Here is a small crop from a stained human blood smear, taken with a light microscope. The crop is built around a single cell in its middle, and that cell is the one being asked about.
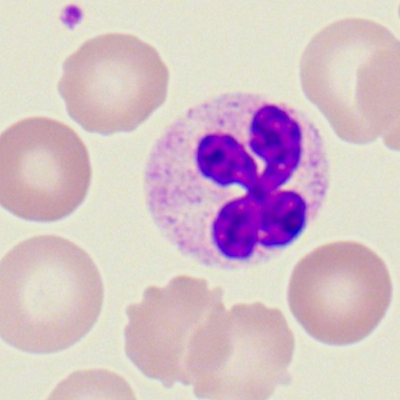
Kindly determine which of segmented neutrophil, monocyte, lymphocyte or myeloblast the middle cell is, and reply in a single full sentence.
The cell in the middle of the field of view is a segmented neutrophil.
